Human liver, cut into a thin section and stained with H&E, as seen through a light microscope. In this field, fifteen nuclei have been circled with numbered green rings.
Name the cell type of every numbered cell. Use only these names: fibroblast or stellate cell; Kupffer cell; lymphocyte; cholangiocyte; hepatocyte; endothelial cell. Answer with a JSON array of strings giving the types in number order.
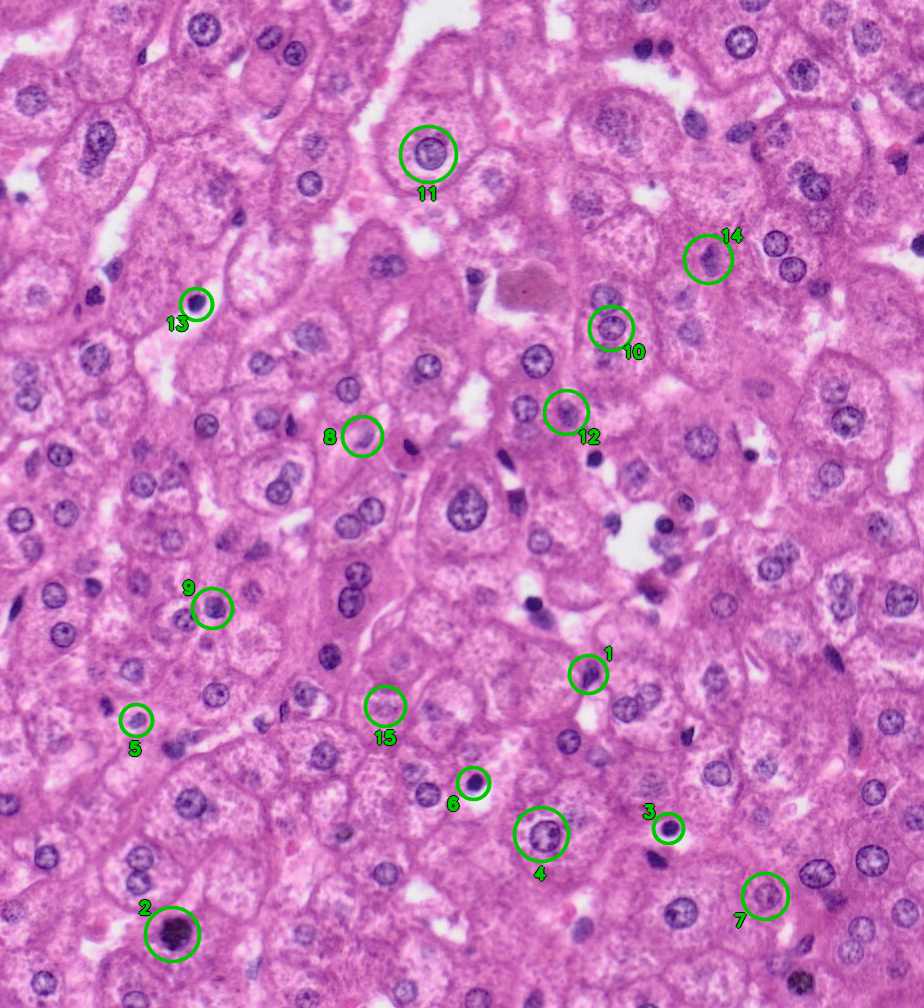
["fibroblast or stellate cell", "hepatocyte", "lymphocyte", "hepatocyte", "lymphocyte", "lymphocyte", "hepatocyte", "endothelial cell", "endothelial cell", "hepatocyte", "hepatocyte", "endothelial cell", "lymphocyte", "endothelial cell", "hepatocyte"]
